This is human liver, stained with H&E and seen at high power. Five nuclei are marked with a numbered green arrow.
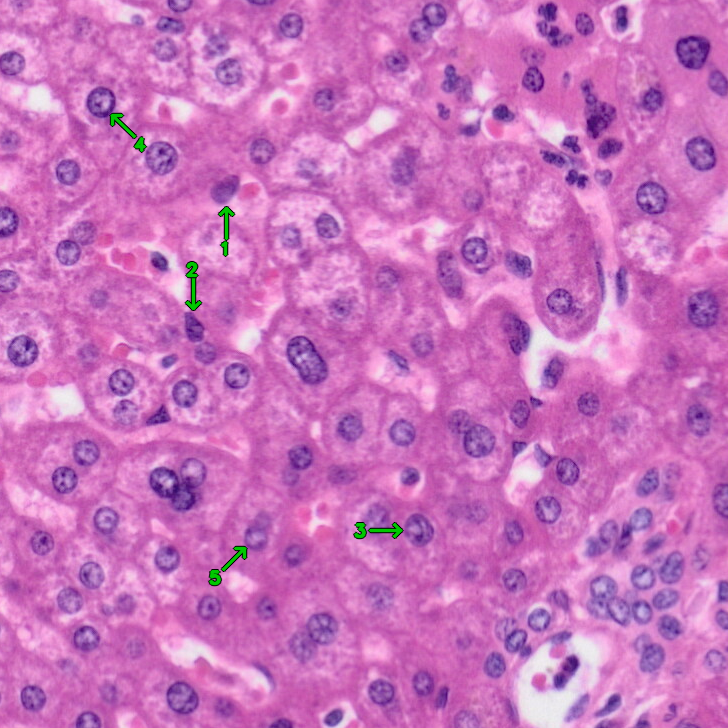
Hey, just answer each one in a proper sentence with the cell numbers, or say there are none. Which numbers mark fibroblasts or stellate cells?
It is only cell 2 that is a fibroblast or stellate cell among the numbered cells.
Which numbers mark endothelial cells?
There is only one numbered cell that is an endothelial cell, and it is cell 1.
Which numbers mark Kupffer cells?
Any Kupffer cells present in the section are not among the numbered cells.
